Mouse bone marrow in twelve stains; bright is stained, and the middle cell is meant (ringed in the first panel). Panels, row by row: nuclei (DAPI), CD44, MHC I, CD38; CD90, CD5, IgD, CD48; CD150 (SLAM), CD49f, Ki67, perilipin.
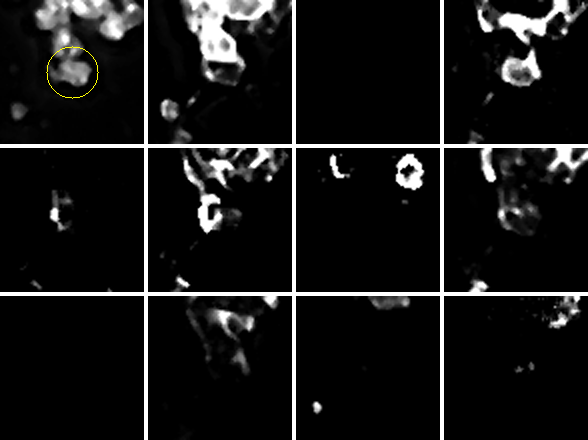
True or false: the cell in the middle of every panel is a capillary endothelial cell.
False; it is a B cell.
